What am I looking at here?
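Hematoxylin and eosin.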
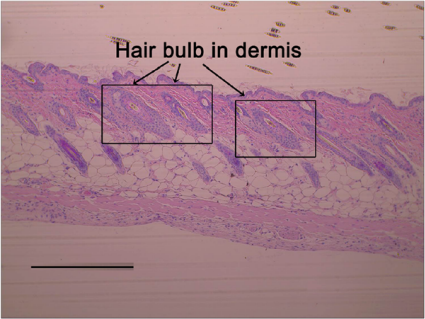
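A thin epidermis forms the upper surface, and below the dermis lies a thick layer of pale fat cells that contains only few follicles. A band of pink tissue runs along the bottom of the section beneath the fat.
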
